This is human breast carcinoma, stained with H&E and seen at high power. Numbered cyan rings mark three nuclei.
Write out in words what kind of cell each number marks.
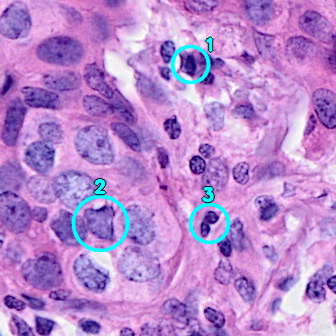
Cells 1 and 3 are lymphocytes. Cell 2 is a carcinoma cell.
